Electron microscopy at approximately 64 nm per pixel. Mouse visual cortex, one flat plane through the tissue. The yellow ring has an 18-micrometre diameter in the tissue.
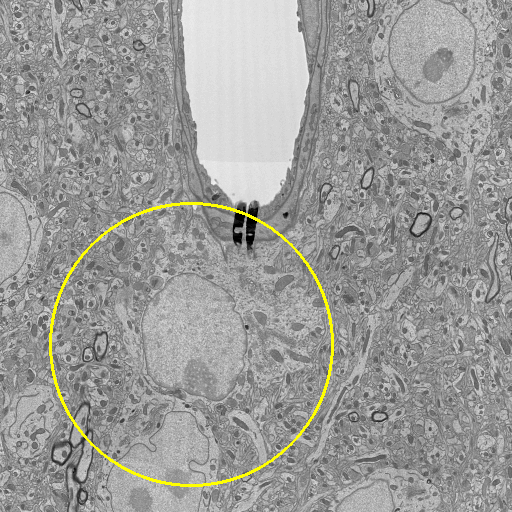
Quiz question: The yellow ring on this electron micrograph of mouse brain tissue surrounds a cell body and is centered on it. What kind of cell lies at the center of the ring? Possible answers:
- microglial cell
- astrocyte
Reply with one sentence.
The ring's center lies on an astrocyte.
